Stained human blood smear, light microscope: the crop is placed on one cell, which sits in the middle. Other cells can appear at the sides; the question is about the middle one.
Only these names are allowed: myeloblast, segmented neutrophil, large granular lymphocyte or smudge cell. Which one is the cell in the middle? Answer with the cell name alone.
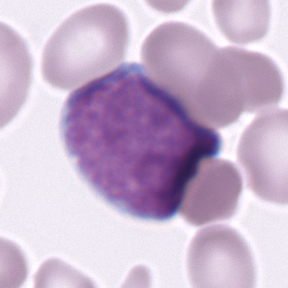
myeloblast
